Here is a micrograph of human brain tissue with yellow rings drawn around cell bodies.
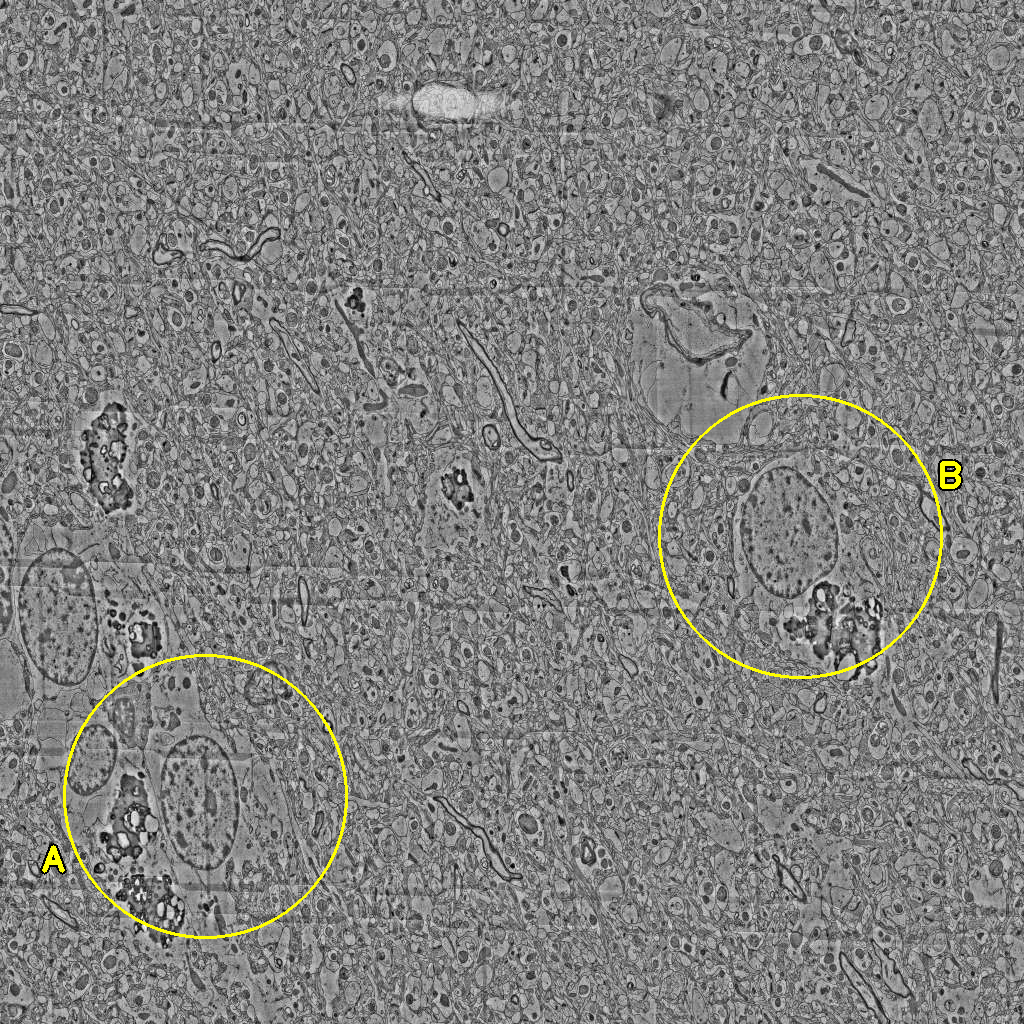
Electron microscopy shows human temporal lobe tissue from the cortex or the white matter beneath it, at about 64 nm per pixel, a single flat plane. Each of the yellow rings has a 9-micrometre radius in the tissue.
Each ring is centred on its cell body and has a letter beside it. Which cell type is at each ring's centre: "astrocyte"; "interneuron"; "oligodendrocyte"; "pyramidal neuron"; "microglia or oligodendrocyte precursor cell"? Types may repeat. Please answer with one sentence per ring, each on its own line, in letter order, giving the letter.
Ring A shows an astrocyte at its centre.
Ring B shows an astrocyte at its centre.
